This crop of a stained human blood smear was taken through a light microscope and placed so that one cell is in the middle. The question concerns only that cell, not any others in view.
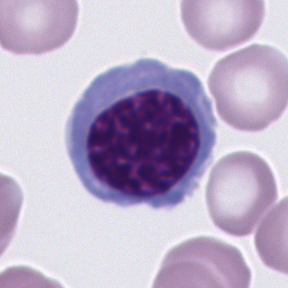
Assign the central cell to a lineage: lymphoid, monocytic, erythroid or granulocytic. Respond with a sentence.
The cell in the middle of the crop is sorted into the erythroid lineage.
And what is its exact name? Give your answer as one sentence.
To answer, the cell in the center of the crop is a normoblast.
